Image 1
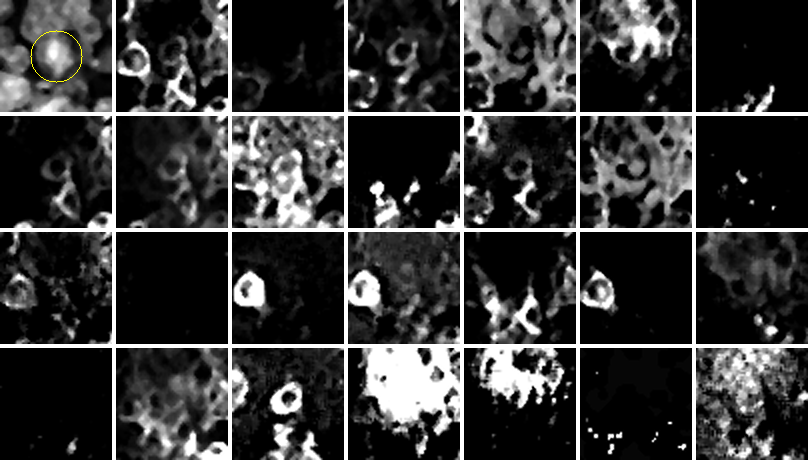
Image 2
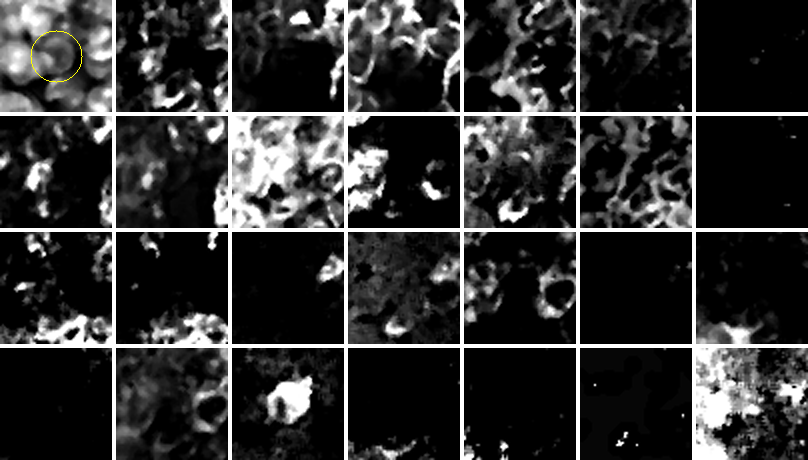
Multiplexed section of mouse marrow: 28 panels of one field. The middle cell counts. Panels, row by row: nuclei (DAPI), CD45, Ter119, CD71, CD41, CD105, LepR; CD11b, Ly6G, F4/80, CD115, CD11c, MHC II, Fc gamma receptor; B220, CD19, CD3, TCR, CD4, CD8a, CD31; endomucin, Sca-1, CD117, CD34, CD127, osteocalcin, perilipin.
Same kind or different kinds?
Same: erythroid progenitors (CFU-E).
